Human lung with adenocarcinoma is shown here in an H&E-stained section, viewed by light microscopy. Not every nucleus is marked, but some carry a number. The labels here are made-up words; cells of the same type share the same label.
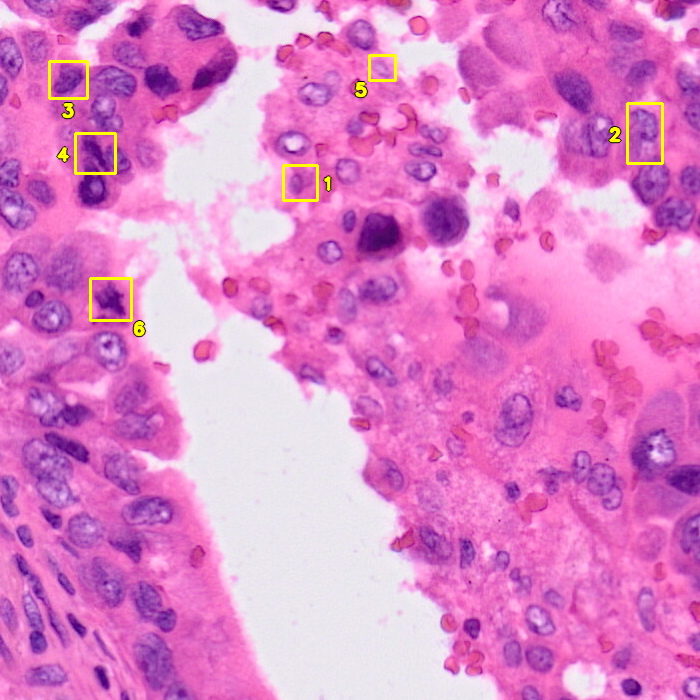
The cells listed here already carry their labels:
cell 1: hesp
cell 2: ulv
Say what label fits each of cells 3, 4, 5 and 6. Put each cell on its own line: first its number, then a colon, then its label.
3: ulv
4: ulv
5: hesp
6: ulv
